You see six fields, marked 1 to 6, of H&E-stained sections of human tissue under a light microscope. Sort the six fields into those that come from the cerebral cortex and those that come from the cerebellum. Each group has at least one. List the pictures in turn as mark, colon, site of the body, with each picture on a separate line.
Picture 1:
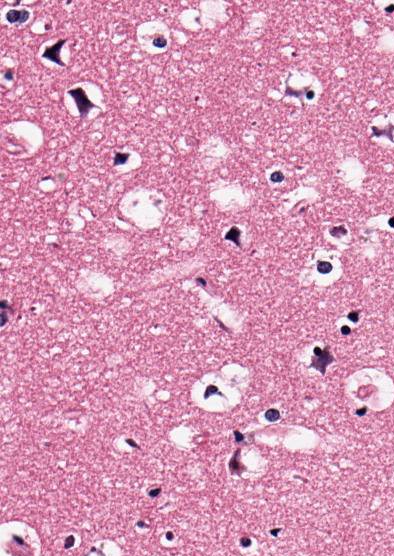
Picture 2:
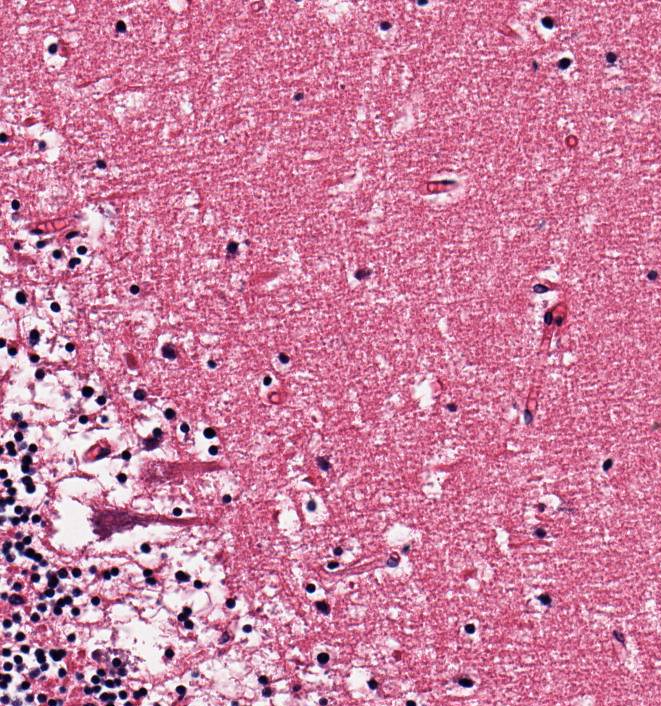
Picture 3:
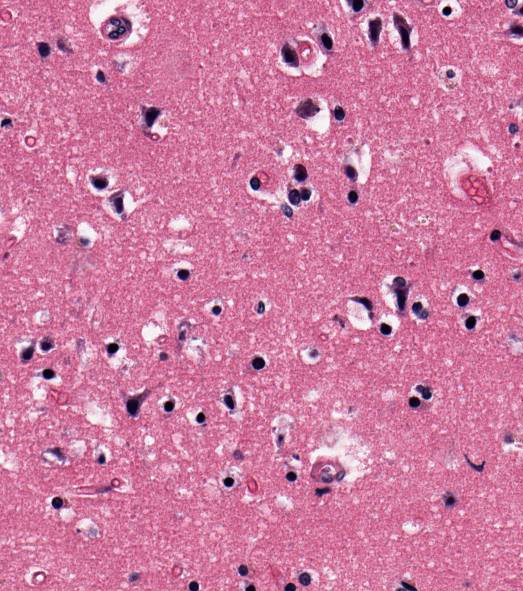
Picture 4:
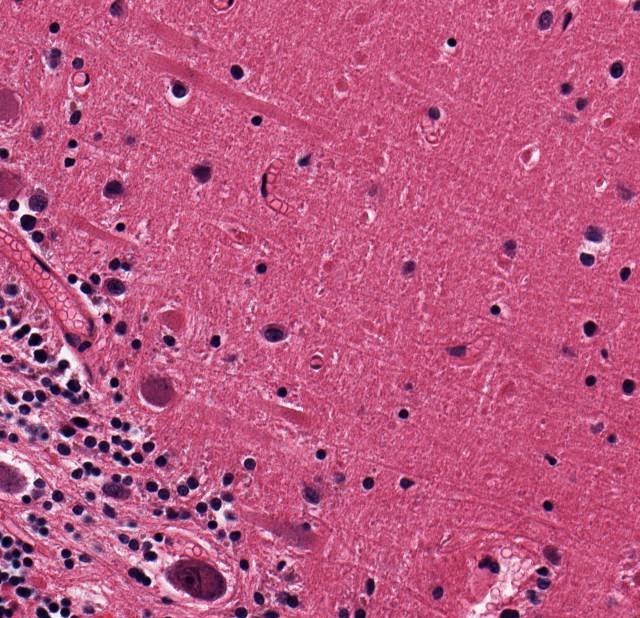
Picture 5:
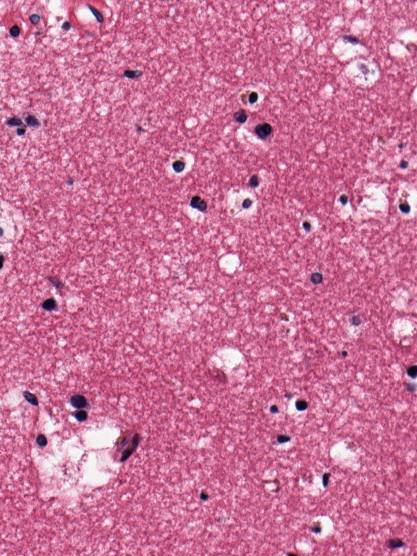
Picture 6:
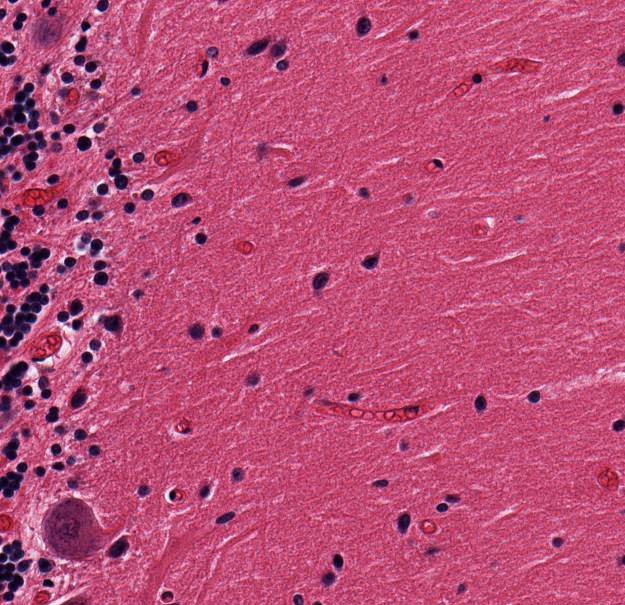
1: cerebral cortex
2: cerebellum
3: cerebral cortex
4: cerebellum
5: cerebral cortex
6: cerebellum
